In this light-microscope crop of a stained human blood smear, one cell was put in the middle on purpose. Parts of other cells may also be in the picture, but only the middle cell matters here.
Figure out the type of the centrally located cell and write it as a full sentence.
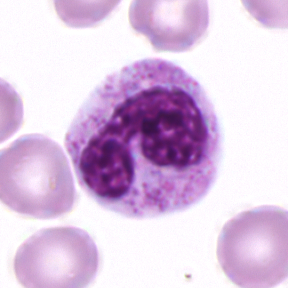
The cell marked by its central position in the crop is a band neutrophil.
